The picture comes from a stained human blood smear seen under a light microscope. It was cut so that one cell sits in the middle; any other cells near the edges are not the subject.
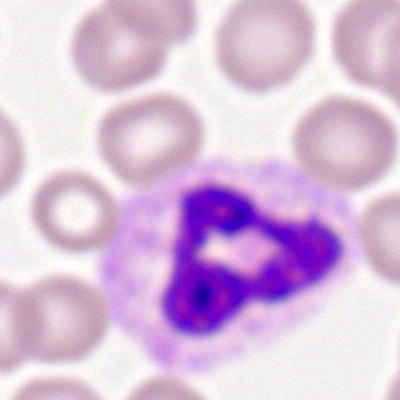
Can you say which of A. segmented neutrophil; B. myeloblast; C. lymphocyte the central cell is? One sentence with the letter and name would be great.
The central cell in this crop is a segmented neutrophil, corresponding to option A, the correct option.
